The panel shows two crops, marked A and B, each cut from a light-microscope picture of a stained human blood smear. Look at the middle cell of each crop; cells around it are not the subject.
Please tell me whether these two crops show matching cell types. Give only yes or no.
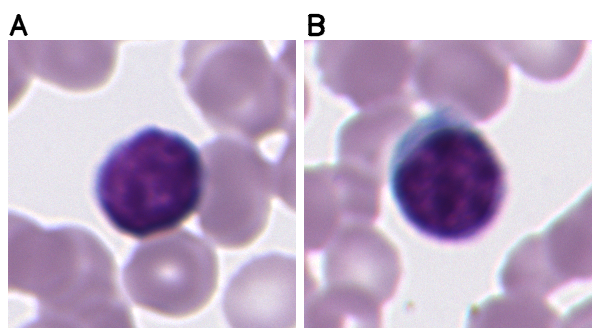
yes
